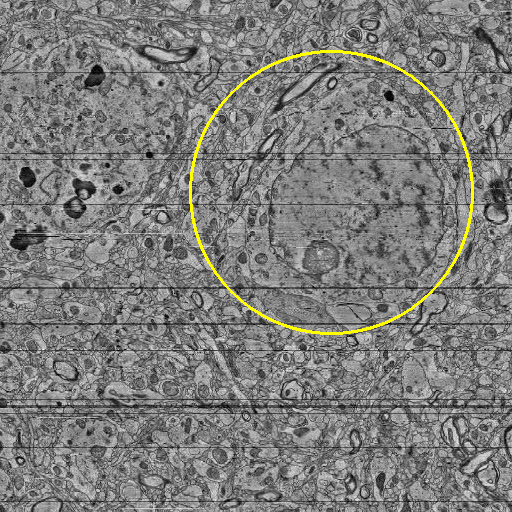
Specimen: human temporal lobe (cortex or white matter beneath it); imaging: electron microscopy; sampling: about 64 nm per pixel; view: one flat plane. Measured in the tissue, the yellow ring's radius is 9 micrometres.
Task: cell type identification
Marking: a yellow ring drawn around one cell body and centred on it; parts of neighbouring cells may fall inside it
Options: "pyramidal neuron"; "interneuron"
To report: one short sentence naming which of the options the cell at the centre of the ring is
The cell at the centre of the ring is a pyramidal neuron.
